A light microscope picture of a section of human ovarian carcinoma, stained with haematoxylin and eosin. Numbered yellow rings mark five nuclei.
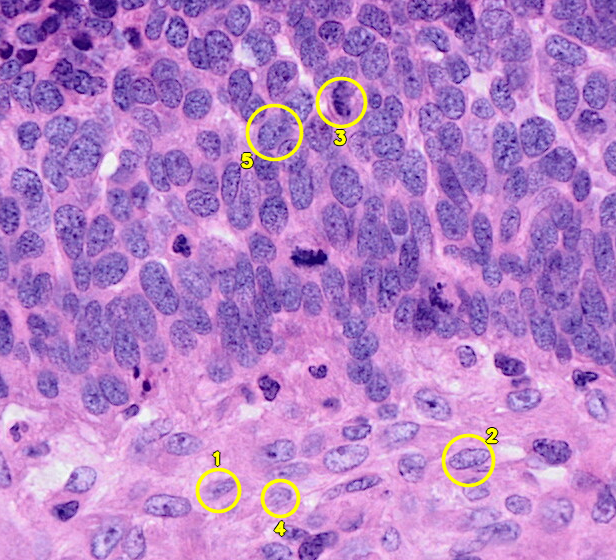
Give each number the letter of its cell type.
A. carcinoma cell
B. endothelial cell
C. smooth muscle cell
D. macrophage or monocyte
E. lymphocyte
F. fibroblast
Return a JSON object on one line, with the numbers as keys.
{"1": "F", "2": "F", "3": "A", "4": "F", "5": "A"}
